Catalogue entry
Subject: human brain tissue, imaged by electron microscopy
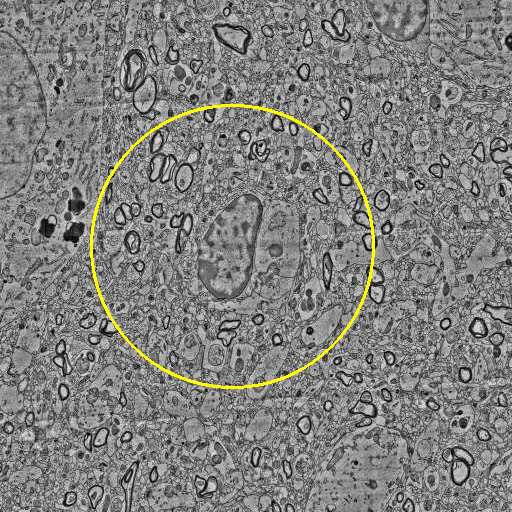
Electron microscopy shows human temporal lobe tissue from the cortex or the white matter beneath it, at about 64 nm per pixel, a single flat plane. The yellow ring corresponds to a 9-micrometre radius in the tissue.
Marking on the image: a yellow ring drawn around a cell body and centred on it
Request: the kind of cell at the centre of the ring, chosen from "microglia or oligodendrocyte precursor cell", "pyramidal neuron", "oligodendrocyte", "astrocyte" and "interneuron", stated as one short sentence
The ring has a microglial cell or oligodendrocyte precursor cell at its centre.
